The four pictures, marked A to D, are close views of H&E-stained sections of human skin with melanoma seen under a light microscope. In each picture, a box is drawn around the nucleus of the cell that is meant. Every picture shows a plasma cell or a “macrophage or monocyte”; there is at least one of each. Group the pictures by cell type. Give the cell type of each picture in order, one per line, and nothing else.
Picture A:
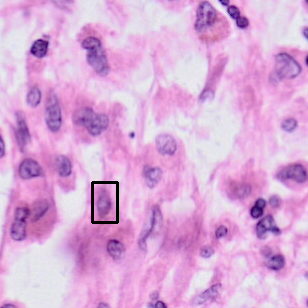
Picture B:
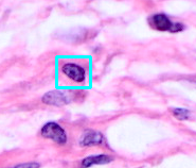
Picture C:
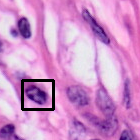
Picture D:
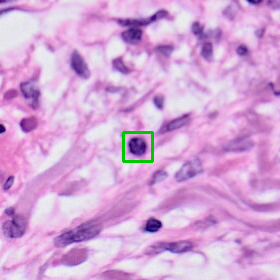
macrophage or monocyte
plasma cell
plasma cell
plasma cell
